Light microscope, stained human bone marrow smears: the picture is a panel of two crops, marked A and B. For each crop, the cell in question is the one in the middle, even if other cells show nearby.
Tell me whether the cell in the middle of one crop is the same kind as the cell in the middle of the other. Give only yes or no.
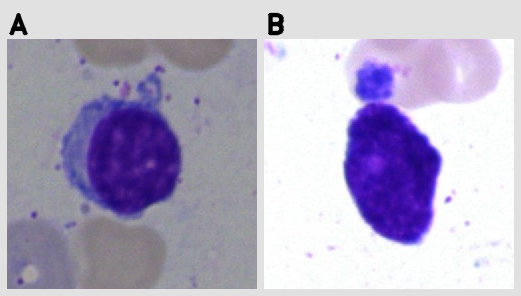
no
